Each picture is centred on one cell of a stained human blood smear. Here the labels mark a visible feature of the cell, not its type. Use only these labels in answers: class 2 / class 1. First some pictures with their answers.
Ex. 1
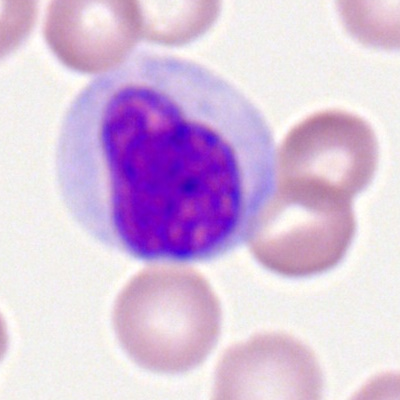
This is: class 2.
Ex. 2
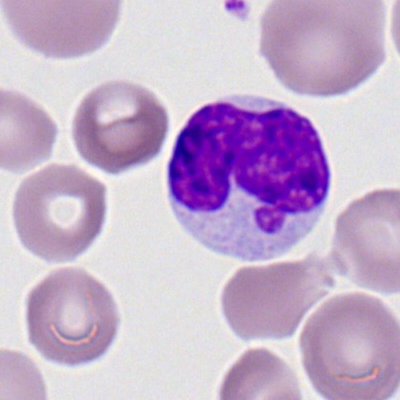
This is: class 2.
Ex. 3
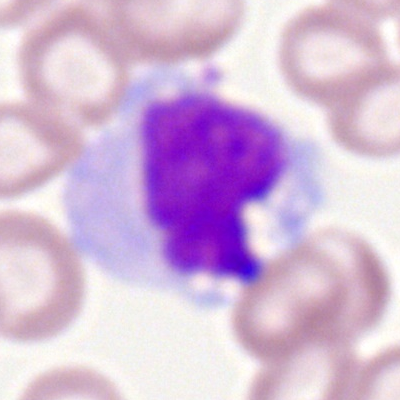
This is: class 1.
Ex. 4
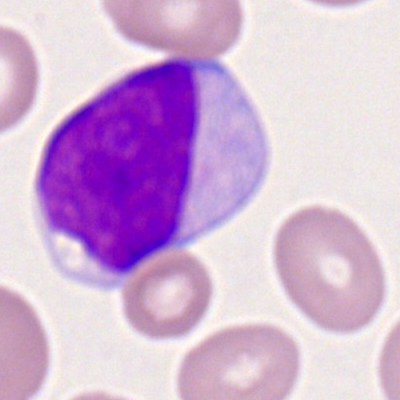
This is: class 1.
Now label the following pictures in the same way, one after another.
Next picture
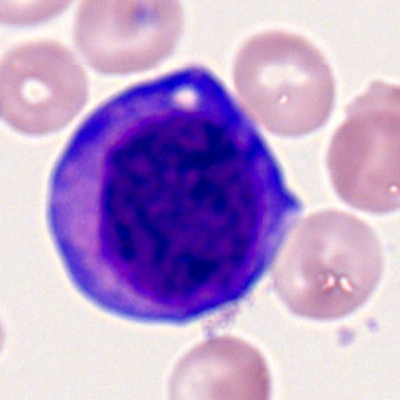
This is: class 1.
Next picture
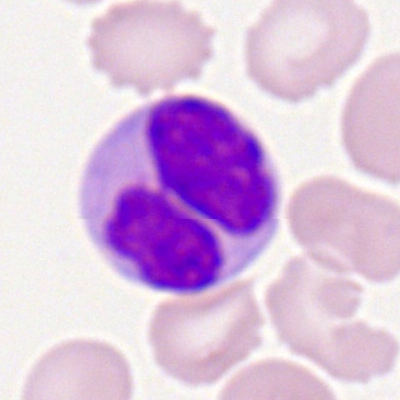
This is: class 2.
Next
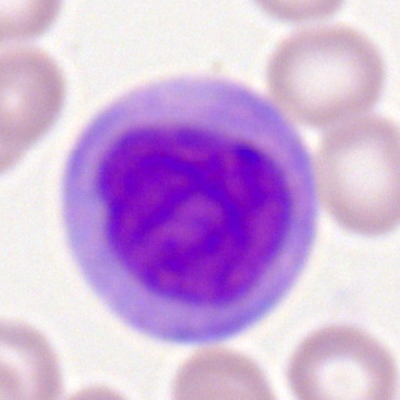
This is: class 2.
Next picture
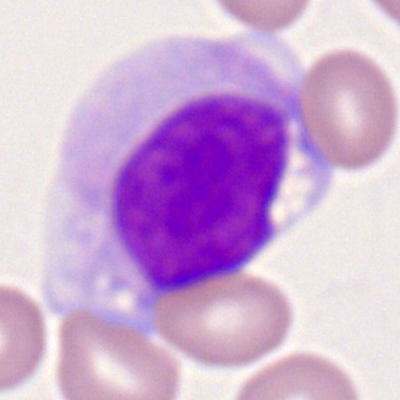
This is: class 1.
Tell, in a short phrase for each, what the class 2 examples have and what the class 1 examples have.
class 2: no vacuoles; class 1: vacuoles present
